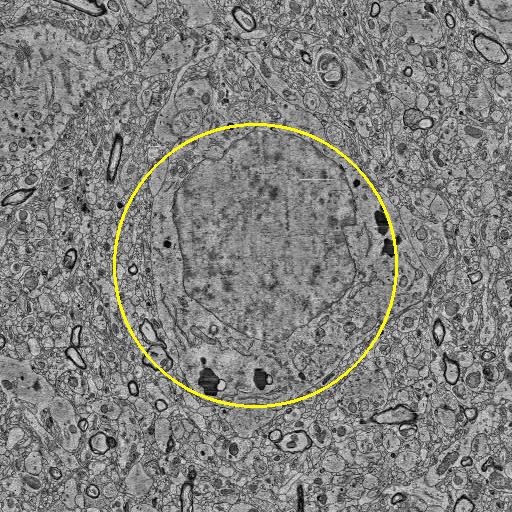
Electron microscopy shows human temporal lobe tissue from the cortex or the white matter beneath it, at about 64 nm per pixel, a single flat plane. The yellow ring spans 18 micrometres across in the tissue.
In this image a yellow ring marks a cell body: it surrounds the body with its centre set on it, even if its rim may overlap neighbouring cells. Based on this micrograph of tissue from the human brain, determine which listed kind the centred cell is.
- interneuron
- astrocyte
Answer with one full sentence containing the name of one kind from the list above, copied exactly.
It is an interneuron whose body the yellow ring encloses at its centre.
